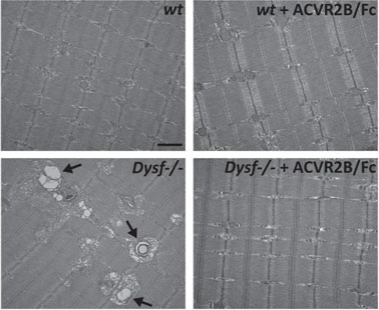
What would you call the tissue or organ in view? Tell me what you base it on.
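Myofiber. Parallel myofibrils show regular cross-striation. Dark Z-lines repeat at regular intervals, marking sarcomeres.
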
